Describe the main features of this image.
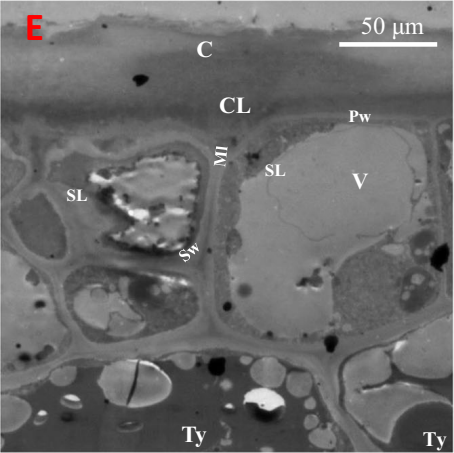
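A broad, thick cuticle runs across the top, with a denser cuticular layer just beneath it lying against the outer walls of the epidermal cells. One cell holds a large vacuole, while another contains an irregular, bright, crumpled deposit. In the deeper row of cells, rounded globular bodies of tylosis fill much of the cell lumen.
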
